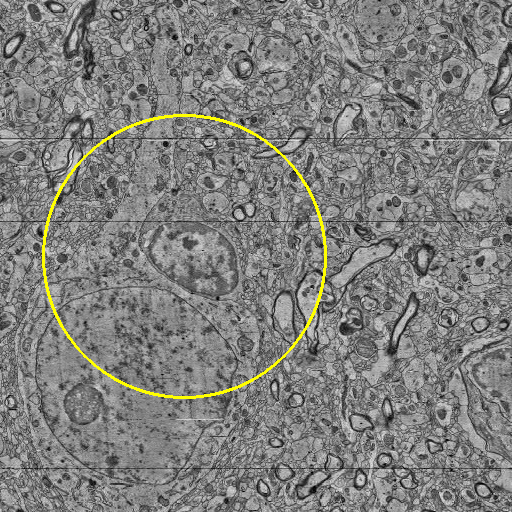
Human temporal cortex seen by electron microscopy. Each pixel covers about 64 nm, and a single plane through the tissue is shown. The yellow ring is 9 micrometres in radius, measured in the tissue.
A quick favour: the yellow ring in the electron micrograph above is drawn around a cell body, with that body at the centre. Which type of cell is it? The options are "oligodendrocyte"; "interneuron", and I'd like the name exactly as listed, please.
oligodendrocyte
